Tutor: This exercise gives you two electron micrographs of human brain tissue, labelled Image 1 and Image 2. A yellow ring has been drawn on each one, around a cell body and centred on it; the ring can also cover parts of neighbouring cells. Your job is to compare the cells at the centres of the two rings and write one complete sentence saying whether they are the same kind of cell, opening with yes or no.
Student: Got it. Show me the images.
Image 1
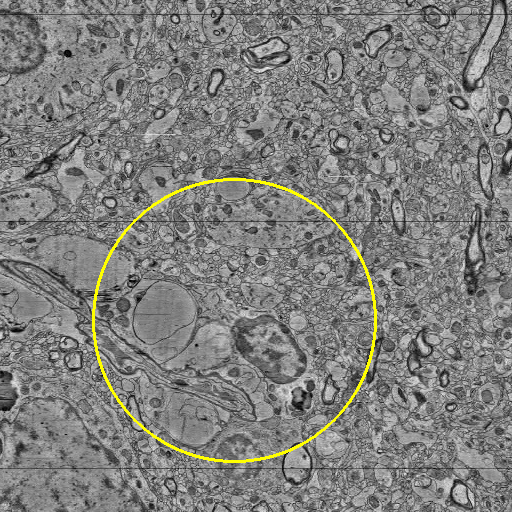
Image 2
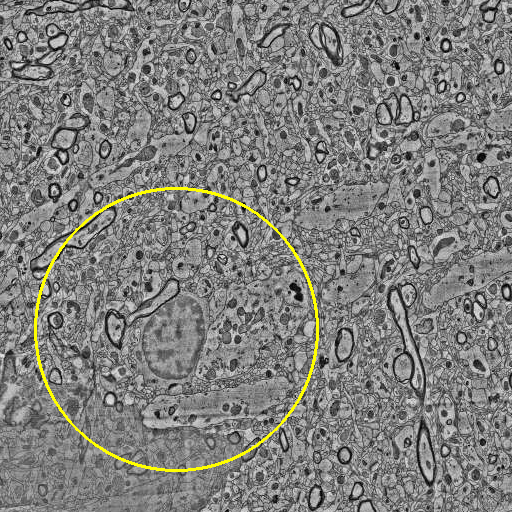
No, the two cells belong to two kinds.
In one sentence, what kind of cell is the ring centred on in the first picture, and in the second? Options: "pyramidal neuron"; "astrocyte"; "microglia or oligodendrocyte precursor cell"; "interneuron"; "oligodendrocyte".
The cell at the centre of the second ring is an oligodendrocyte; the first ring's cell is a microglial cell or oligodendrocyte precursor cell.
